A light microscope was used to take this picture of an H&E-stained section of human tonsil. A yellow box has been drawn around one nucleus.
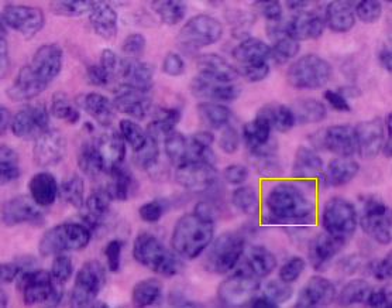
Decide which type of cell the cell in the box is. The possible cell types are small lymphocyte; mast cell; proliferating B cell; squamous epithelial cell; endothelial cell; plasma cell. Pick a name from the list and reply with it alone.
proliferating B cell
